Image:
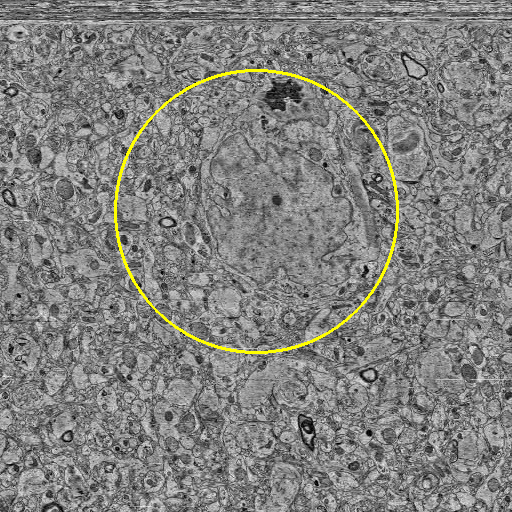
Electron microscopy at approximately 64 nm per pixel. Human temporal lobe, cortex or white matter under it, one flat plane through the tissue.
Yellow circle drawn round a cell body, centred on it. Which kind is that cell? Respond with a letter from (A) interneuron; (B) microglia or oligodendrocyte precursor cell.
A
